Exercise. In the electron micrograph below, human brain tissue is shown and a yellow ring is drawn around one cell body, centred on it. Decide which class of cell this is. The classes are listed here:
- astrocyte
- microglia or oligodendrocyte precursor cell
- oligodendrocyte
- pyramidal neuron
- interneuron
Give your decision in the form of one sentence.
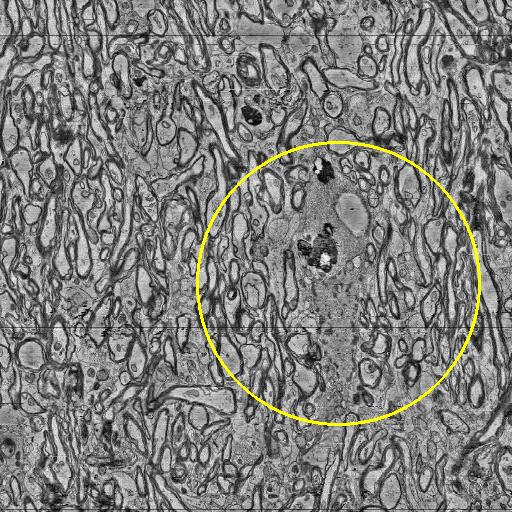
The cell body marked by the ring belongs to an astrocyte.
